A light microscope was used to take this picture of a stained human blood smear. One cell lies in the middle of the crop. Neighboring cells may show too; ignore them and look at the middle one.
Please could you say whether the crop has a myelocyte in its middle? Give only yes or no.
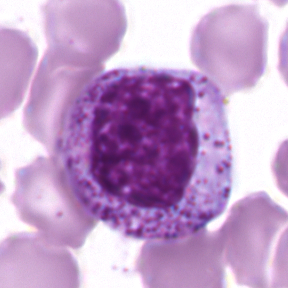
yes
